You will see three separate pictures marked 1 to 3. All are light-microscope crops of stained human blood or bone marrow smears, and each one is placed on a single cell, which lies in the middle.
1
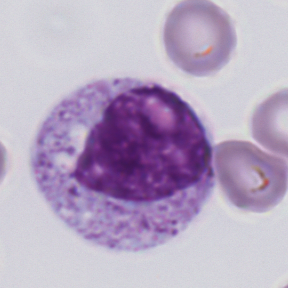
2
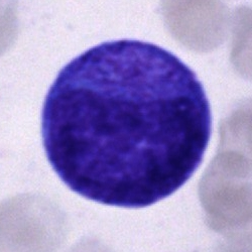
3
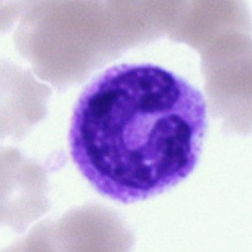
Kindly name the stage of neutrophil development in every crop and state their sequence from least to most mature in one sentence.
Sequenced by maturity from least to most, the crops are crop 2 (a promyelocyte), crop 1 (a myelocyte) and crop 3 (a band neutrophil).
